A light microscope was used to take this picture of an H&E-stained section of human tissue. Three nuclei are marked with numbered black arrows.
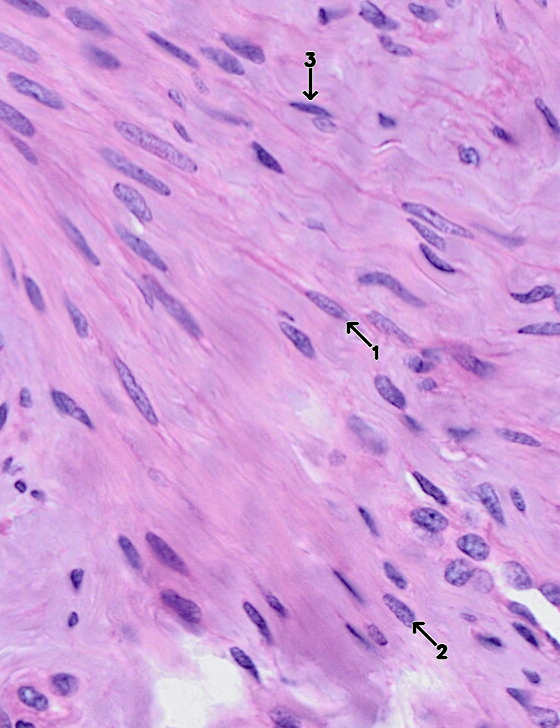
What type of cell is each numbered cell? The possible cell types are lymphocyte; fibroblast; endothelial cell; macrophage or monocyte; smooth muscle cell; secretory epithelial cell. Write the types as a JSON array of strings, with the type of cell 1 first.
["smooth muscle cell", "fibroblast", "fibroblast"]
